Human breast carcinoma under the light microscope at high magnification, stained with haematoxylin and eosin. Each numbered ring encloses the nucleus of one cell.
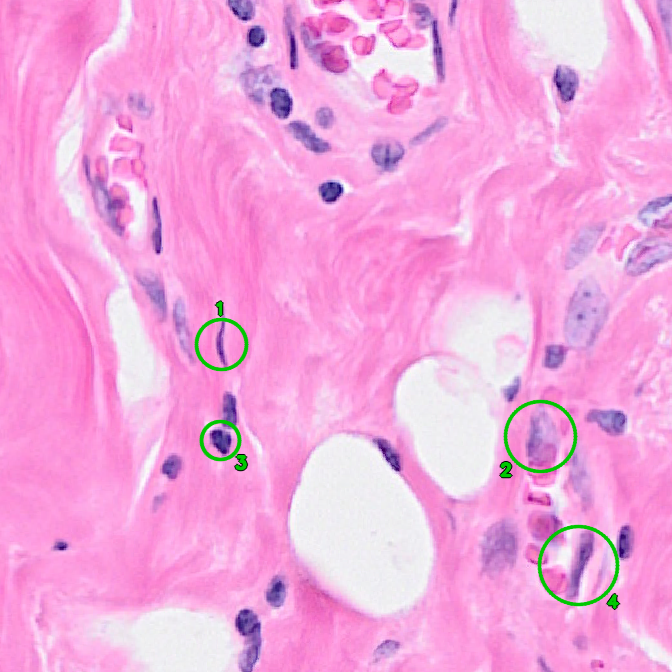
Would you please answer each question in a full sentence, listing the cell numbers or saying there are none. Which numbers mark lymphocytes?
Cell 3 is a lymphocyte; the remaining numbered cells are not.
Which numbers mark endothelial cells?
Cells numbered 2 and 4 belong to the group of endothelial cells.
